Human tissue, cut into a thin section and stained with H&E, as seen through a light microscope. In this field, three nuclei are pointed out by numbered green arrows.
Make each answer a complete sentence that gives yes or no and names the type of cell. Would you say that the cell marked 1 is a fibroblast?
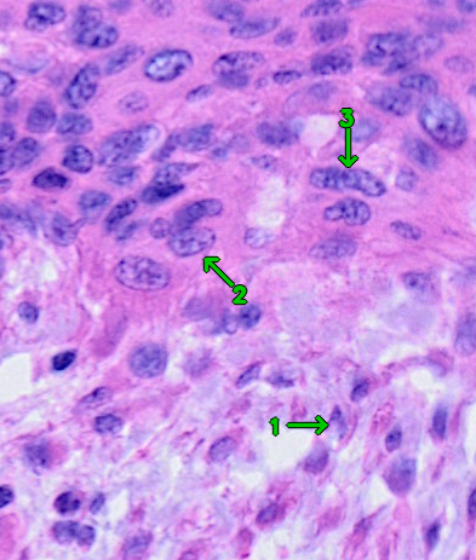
Yes, exactly, the cell numbered 1 is a fibroblast.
